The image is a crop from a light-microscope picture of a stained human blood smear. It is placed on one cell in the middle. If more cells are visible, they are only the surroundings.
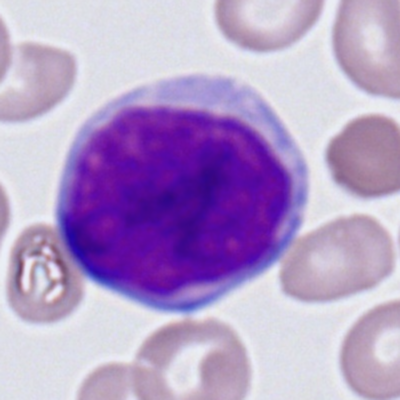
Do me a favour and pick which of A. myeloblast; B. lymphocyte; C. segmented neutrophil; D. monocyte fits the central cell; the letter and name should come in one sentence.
With the cell in the middle being a myeloblast, option A is the correct choice.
